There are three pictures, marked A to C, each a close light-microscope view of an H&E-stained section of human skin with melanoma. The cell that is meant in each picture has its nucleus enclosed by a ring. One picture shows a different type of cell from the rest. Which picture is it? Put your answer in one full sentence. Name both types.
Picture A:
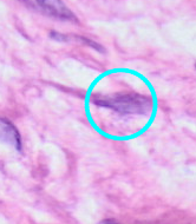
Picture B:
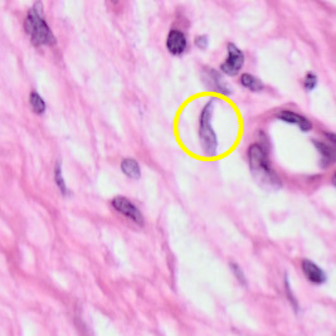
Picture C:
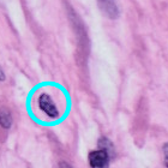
Picture C is the odd one out: it shows a lymphocyte, while the others show “fibroblasts or myofibroblasts”.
